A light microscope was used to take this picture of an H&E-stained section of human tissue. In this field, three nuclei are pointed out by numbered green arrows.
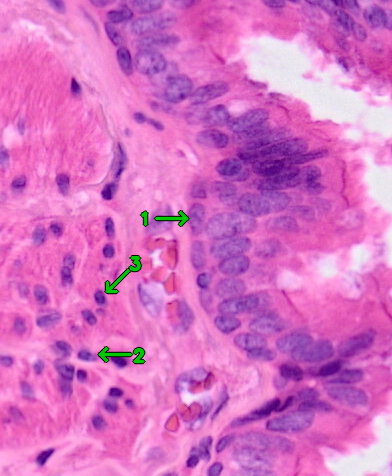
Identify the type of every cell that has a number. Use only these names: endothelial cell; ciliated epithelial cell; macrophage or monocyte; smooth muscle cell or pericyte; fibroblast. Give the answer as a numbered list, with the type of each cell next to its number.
1. ciliated epithelial cell
2. smooth muscle cell or pericyte
3. smooth muscle cell or pericyte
